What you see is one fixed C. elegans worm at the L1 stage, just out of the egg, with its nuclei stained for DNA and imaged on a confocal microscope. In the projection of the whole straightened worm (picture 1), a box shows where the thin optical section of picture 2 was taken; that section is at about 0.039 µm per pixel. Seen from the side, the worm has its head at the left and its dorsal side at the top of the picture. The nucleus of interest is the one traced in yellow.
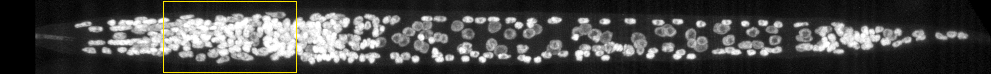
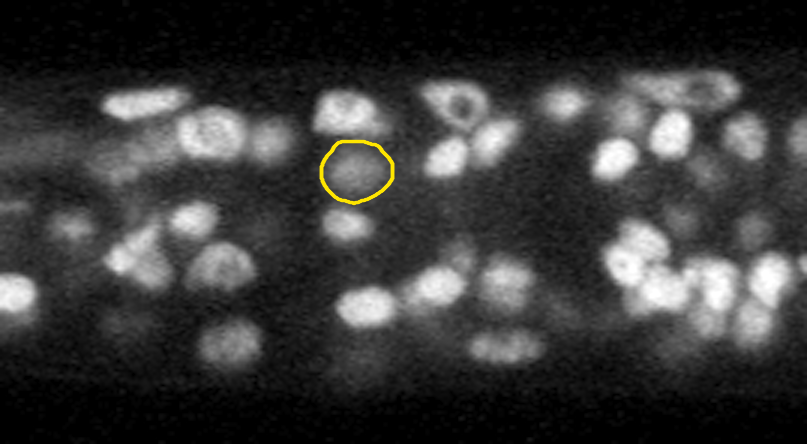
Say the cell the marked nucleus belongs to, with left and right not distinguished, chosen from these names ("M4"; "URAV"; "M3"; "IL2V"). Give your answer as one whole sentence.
The marked nucleus is that of M4, a neuron.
